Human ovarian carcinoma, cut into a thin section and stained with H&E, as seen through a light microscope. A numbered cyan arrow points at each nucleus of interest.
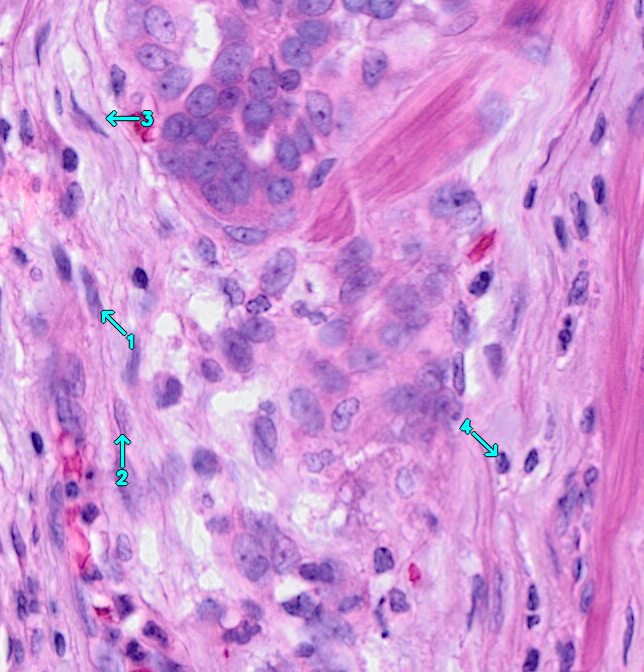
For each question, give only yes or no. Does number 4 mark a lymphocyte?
yes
